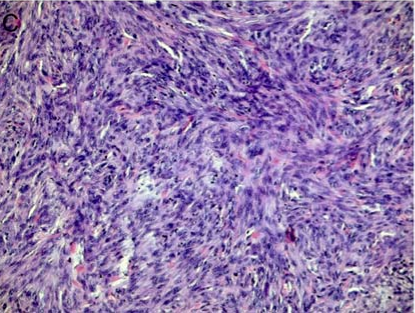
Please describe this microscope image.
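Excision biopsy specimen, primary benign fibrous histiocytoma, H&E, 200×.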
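A densely cellular field of spindle cells with elongated, dark purple nuclei and scant pale pink cytoplasm fills the whole view. The cells run in bundles that cross and interlace, swirling in places around a centre in a cartwheel-like way, with a few small clefts between them. This is the storiform pattern of interlacing fascicles of spindled cells.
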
